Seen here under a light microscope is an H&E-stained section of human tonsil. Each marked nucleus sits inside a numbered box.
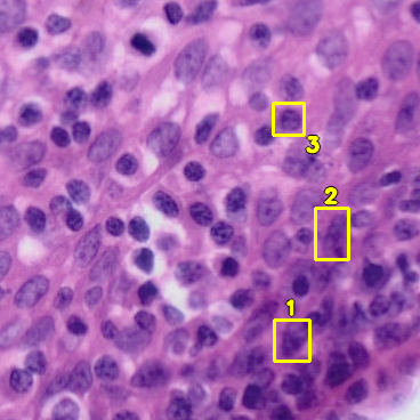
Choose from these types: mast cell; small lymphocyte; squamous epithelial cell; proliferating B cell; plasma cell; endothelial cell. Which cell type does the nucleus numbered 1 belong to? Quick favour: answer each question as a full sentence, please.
Number 1 among the marked cells is a squamous epithelial cell.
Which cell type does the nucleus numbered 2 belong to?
In this section, the cell tagged 2 is a squamous epithelial cell.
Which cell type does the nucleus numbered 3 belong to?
The nucleus labelled 3 belongs to a plasma cell.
